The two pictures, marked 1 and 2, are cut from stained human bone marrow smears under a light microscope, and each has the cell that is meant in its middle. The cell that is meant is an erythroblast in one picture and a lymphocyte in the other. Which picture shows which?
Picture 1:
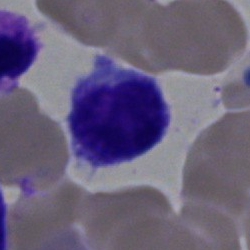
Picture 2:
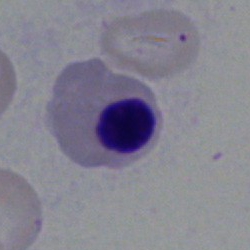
1: lymphocyte
2: erythroblast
